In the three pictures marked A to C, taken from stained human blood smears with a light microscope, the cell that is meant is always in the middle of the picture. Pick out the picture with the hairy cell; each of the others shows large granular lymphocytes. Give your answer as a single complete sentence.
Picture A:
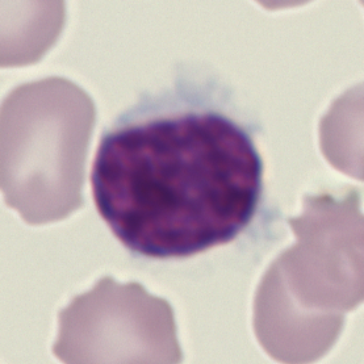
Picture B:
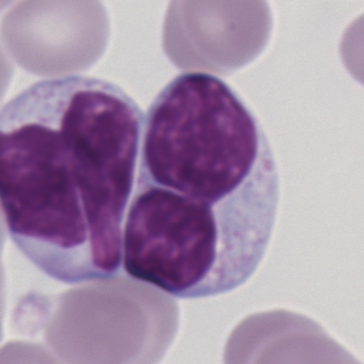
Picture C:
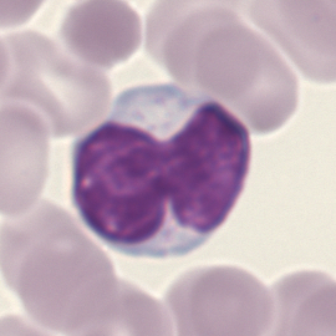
The cell in picture A is the hairy cell.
